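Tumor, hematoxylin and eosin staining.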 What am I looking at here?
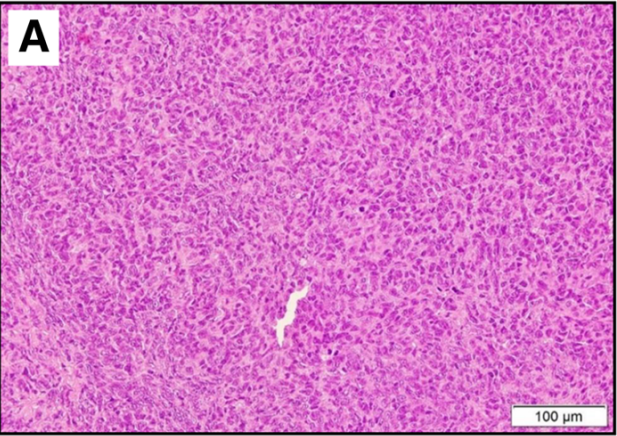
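This is a solid tumour made of densely packed epithelioid cells arranged in diffuse sheets. The cells are polygonal to ovoid, with round to oval, darkly staining purple nuclei. Their cytoplasm is pink and moderately abundant, with indistinct cell borders. In places the cells run in vague streams or whorls, and a small slit-like space lies near the centre. No glandular structures or distinct normal tissue layers are seen in this field.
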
